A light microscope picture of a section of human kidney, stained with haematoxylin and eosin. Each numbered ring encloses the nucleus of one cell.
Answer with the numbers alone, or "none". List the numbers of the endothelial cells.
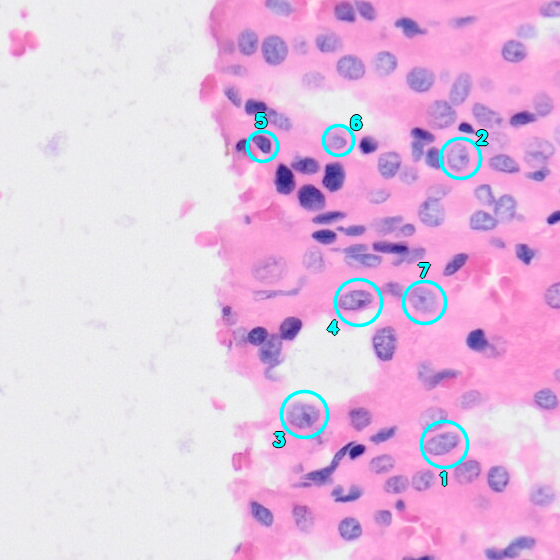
5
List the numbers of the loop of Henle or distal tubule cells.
1, 3, 4, 7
